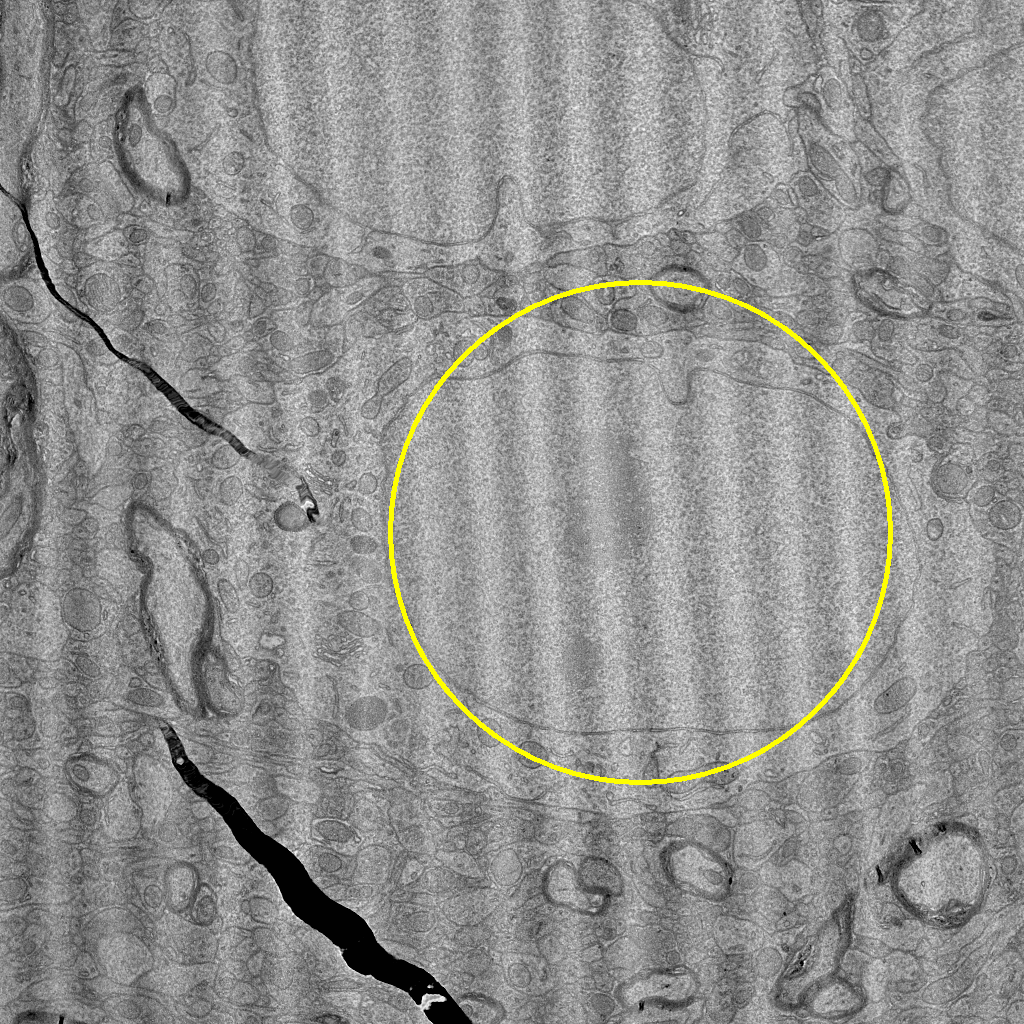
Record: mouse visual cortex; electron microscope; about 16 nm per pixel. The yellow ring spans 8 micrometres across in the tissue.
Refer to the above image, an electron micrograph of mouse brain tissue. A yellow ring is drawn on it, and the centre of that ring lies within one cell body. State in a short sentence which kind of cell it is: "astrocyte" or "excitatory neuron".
The centre of the ring falls on an excitatory neuron.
